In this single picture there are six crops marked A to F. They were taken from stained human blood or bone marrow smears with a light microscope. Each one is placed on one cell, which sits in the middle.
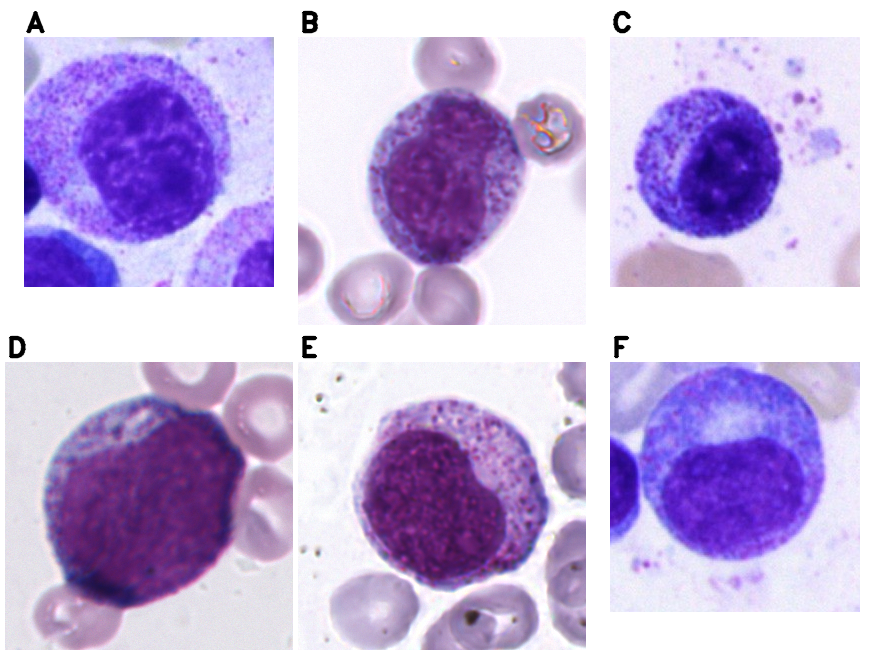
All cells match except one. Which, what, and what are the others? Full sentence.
Found in all crops but one are promyelocytes; the exception, crop A, contains a myelocyte.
